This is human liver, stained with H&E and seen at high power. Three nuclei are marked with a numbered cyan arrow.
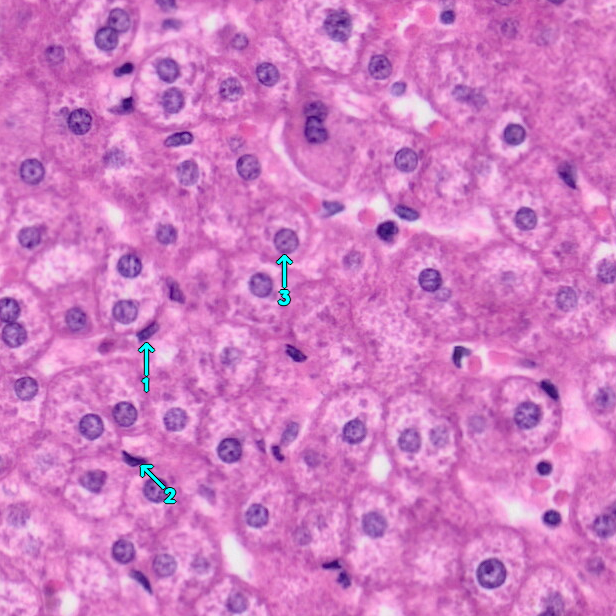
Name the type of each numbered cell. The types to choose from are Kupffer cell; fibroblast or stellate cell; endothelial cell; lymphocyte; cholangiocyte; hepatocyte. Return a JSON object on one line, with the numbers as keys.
{"1": "fibroblast or stellate cell", "2": "endothelial cell", "3": "hepatocyte"}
